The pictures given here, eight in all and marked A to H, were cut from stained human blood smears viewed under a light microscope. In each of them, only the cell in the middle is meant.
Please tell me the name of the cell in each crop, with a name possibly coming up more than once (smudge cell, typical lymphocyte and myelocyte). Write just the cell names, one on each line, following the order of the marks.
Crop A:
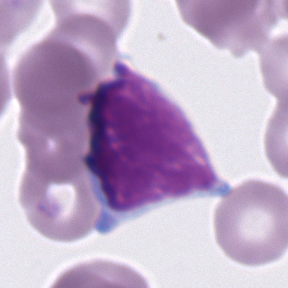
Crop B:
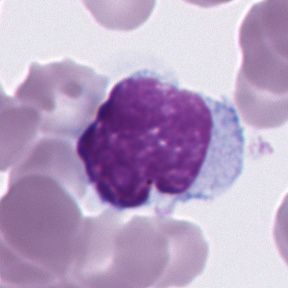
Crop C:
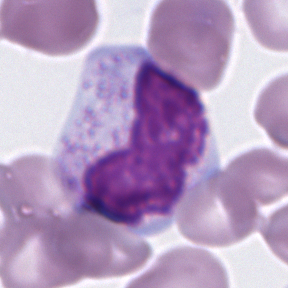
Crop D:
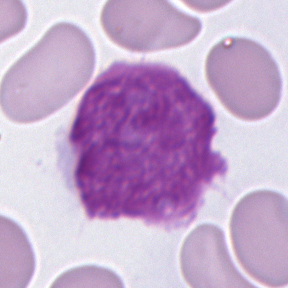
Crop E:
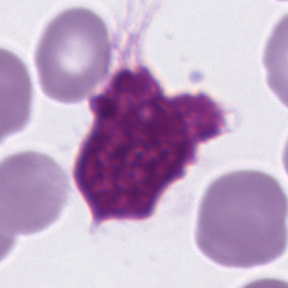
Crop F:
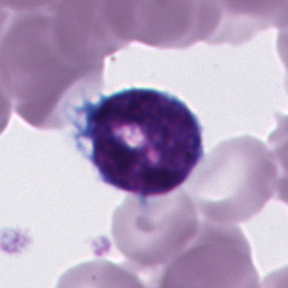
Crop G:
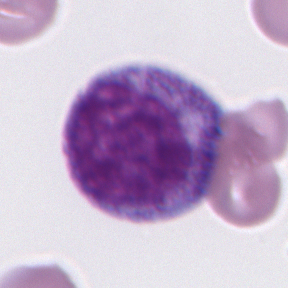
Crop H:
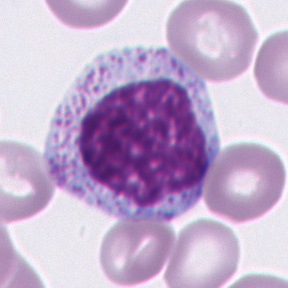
typical lymphocyte
typical lymphocyte
myelocyte
smudge cell
smudge cell
typical lymphocyte
myelocyte
myelocyte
